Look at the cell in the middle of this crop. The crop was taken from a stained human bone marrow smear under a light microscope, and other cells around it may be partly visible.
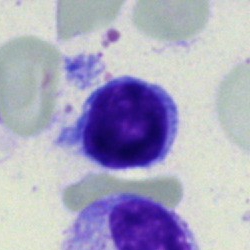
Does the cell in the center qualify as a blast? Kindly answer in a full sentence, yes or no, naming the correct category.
No, in this crop the central cell is a lymphocyte instead of a blast.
